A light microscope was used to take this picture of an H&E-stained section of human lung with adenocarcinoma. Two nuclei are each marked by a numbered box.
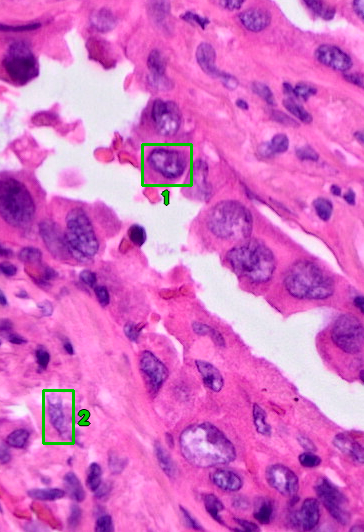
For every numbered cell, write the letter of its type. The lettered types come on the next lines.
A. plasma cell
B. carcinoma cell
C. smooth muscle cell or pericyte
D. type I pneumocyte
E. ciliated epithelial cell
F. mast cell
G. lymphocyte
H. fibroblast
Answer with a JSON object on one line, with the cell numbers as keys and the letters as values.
{"1": "B", "2": "H"}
